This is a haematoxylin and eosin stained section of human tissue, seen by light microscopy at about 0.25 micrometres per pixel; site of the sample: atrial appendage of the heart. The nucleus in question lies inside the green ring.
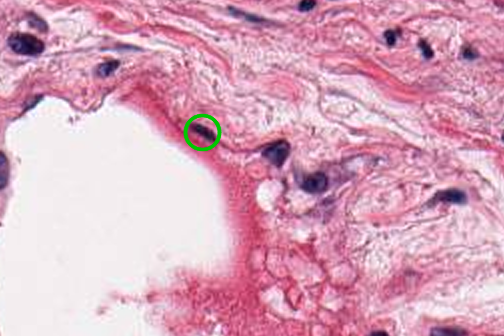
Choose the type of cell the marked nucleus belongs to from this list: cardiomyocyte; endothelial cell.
endothelial cell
